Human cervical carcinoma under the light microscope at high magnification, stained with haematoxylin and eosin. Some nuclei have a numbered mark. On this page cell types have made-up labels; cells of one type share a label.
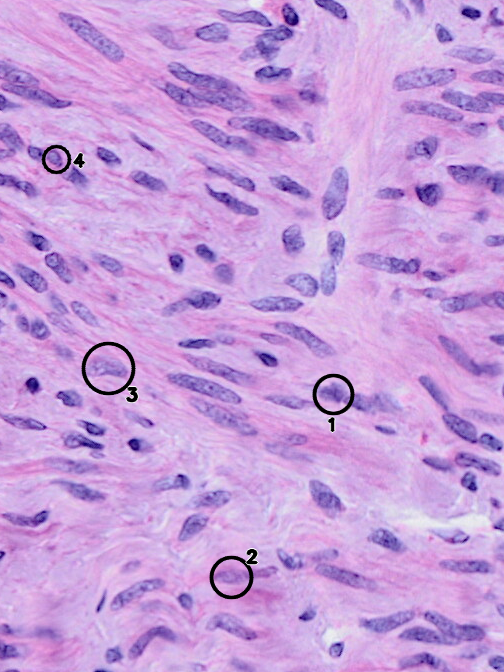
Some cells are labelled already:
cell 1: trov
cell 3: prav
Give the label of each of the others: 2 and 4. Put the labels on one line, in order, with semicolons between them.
prav; prav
